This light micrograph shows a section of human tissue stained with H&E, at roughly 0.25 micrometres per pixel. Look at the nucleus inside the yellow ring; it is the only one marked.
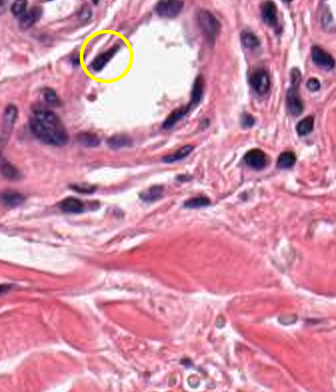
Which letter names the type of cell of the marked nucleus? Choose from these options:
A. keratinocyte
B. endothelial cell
B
